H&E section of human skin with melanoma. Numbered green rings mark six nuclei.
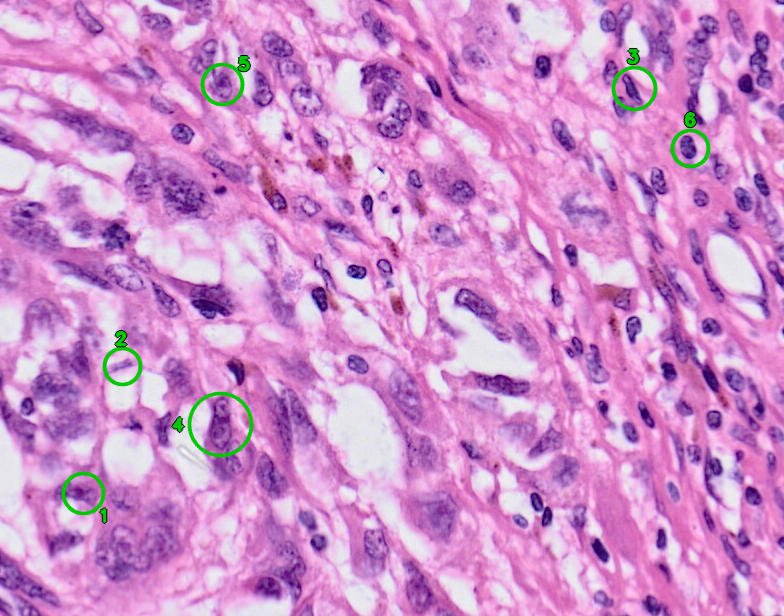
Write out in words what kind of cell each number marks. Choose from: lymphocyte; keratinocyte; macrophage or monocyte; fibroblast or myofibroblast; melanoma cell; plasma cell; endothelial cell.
Cells 1, 2, 4 and 5 are melanoma cells. Cells 3 and 6 are lymphocytes.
